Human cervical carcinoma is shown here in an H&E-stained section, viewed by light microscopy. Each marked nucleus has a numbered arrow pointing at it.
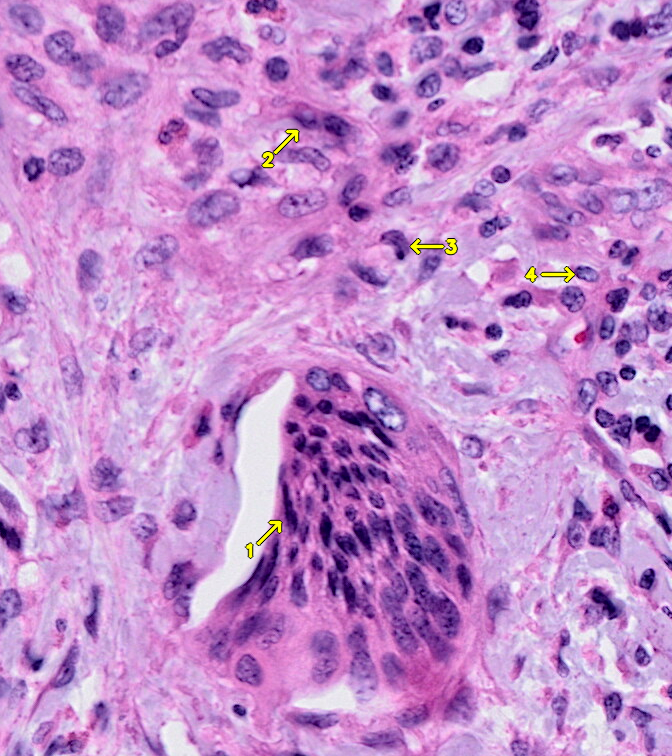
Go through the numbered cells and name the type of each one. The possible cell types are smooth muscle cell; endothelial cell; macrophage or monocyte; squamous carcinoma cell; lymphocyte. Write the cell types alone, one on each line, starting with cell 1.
squamous carcinoma cell
endothelial cell
macrophage or monocyte
lymphocyte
